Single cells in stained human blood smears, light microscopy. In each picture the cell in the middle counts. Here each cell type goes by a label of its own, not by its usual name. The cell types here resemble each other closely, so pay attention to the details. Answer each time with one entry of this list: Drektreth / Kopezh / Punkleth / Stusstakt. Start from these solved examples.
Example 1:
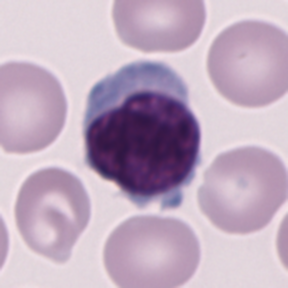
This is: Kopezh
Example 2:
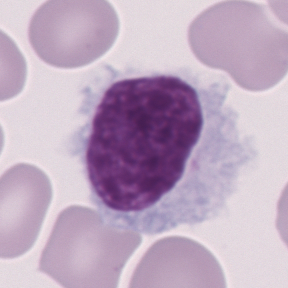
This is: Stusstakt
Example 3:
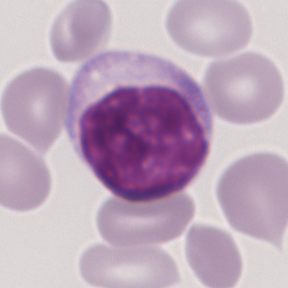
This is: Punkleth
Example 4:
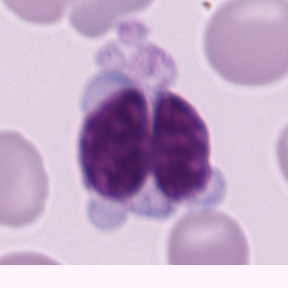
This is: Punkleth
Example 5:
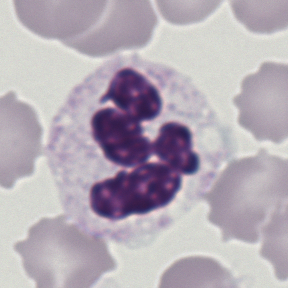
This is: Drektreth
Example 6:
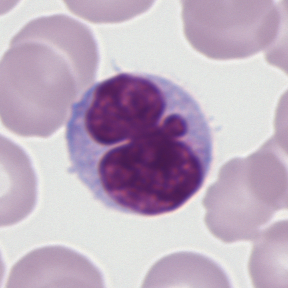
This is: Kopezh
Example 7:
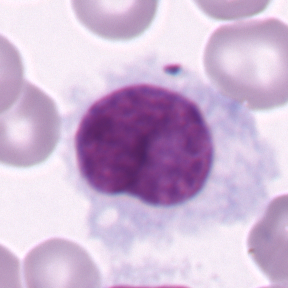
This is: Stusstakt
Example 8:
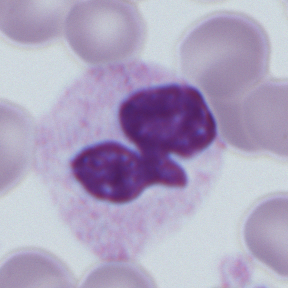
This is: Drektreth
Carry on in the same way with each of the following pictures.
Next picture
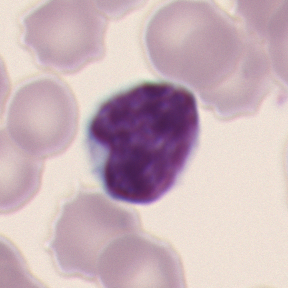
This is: Kopezh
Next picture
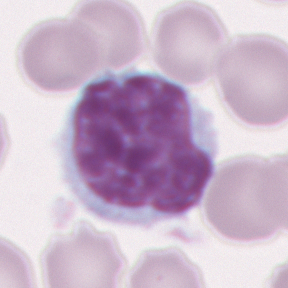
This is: Kopezh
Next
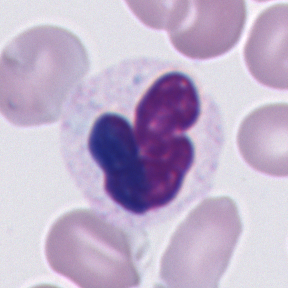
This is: Drektreth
